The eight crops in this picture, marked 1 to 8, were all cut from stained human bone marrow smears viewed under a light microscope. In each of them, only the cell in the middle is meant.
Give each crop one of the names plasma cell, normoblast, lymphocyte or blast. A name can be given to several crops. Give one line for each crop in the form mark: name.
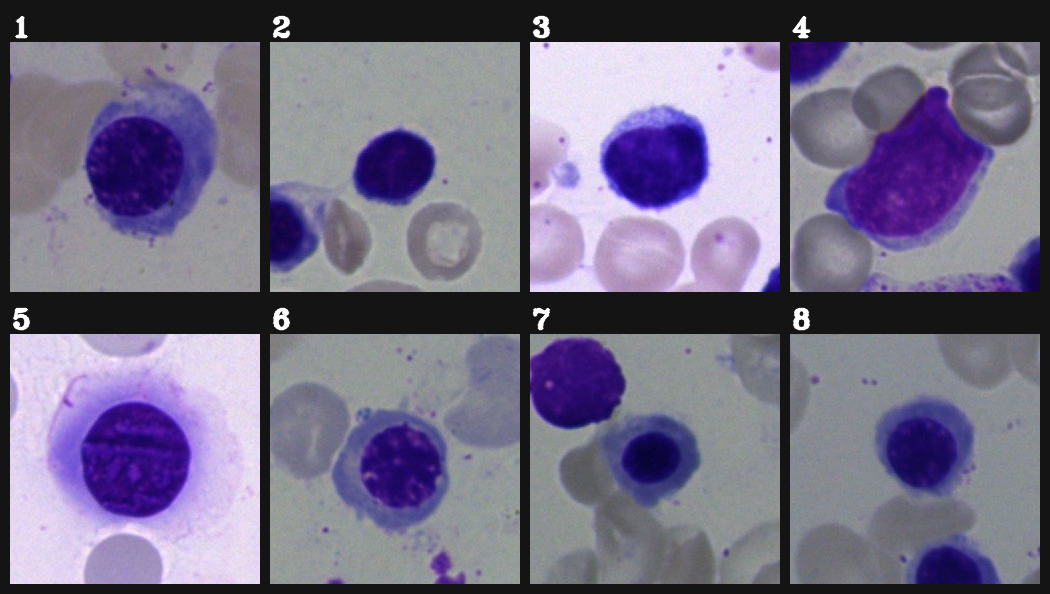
1: normoblast
2: lymphocyte
3: lymphocyte
4: blast
5: normoblast
6: normoblast
7: normoblast
8: normoblast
